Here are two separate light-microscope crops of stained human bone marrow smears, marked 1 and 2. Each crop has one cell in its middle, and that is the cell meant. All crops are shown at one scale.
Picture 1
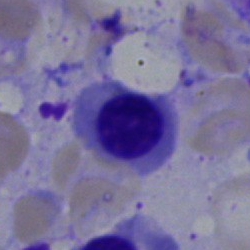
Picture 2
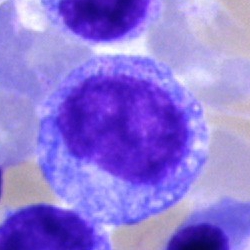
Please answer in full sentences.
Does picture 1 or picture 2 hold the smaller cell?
Picture 1 holds the smaller cell, since the cell in picture 2 covers about 2 times as much area.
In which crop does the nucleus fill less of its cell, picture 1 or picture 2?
In picture 1 the nucleus takes up the smaller part of its cell.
